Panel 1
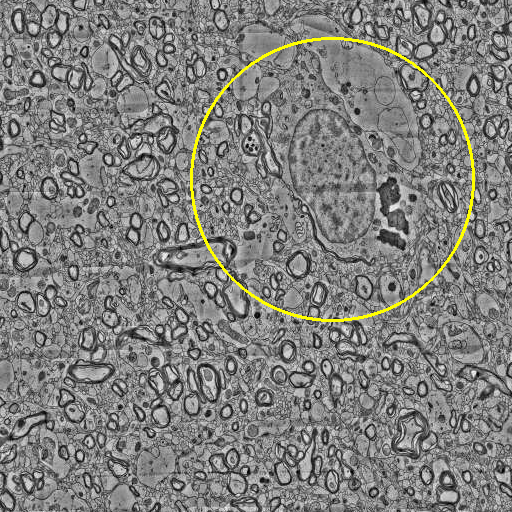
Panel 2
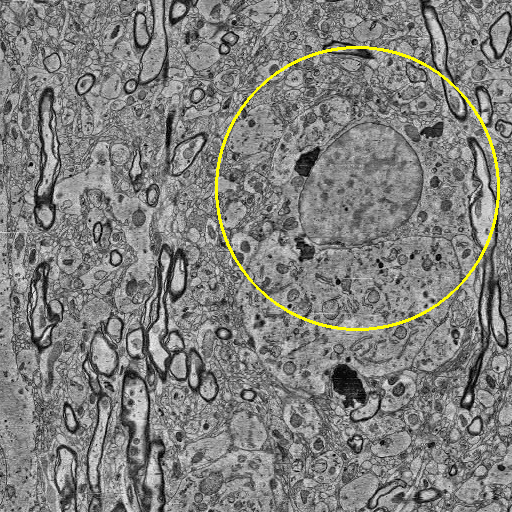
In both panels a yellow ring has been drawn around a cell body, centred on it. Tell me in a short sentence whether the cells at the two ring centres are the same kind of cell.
Yes, they are the same kind of cell.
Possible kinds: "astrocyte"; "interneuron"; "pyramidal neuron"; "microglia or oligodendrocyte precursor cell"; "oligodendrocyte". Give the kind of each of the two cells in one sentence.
Each of the two pictures has an oligodendrocyte at the ring centre.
